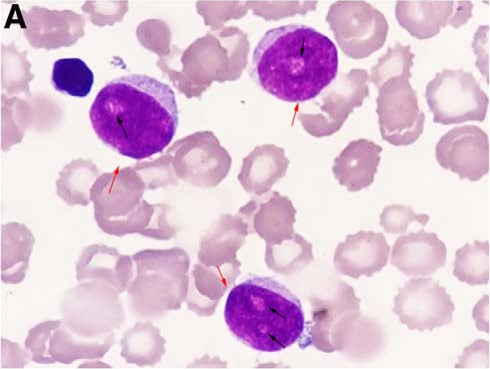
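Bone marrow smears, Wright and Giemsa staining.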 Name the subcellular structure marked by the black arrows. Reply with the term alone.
Nucleoli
